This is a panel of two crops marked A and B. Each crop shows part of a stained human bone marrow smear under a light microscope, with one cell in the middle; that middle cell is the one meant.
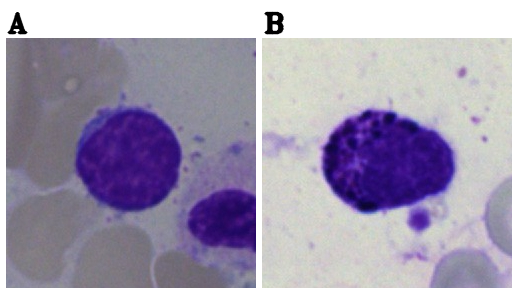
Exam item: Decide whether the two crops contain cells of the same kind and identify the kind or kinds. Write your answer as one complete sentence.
No, it is a lymphocyte in crop A and a basophil in crop B.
